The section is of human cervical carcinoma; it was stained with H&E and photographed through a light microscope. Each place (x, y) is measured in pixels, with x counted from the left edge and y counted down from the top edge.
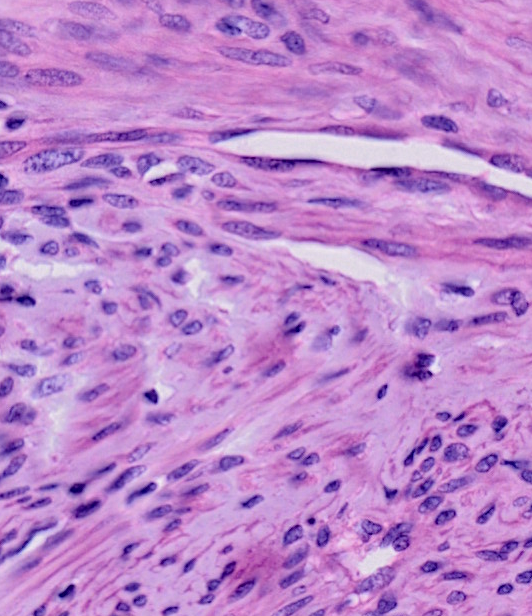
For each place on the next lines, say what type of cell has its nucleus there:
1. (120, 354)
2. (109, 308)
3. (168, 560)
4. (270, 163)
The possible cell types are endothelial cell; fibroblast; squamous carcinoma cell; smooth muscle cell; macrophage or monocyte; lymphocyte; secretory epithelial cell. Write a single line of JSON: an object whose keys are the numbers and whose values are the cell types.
{"1": "smooth muscle cell", "2": "smooth muscle cell", "3": "smooth muscle cell", "4": "endothelial cell"}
